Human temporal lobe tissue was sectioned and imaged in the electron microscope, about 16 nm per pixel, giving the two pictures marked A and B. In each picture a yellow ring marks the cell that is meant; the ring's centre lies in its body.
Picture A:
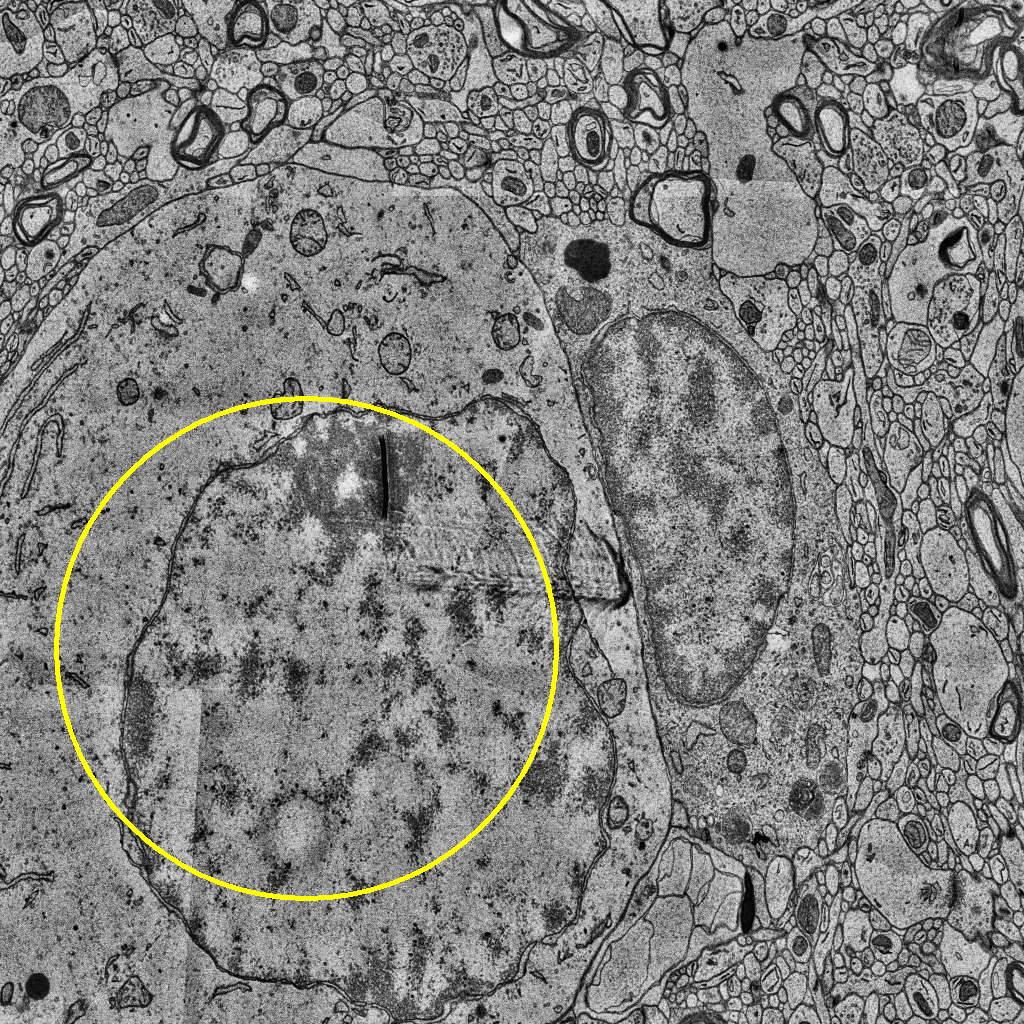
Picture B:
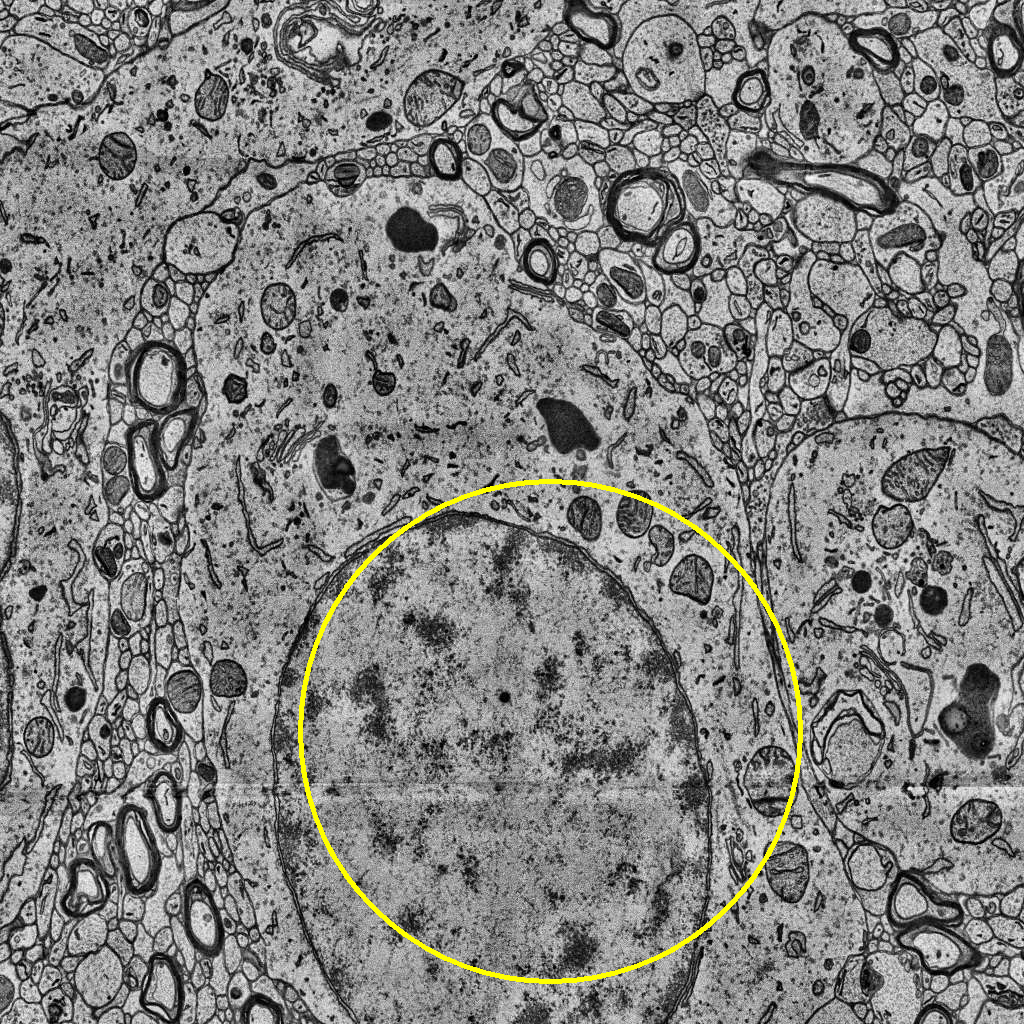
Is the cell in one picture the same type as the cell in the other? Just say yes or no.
yes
